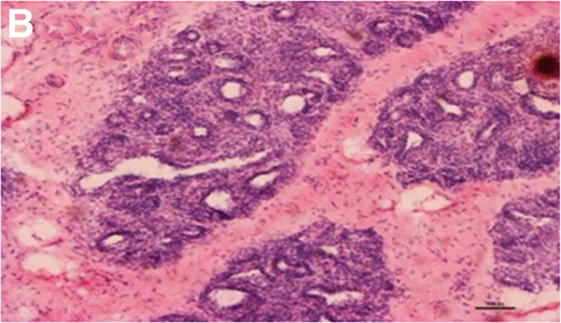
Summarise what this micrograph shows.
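This is mammary gland tissue in which the glandular part is gathered into compact lobules set in abundant connective tissue. Inside each lobule the tissue is crowded with blue nuclei, and the glandular spaces are small, with narrow, often slit-like or round empty lumens rather than large filled sacs. Between the lobules lie wide bands of pink, fibrous connective tissue with scattered, sparser nuclei and a few small vessels. Compared with a gland full of distended alveoli, here the stroma takes up a large share of the section and the epithelial parts are small and cell-dense.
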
